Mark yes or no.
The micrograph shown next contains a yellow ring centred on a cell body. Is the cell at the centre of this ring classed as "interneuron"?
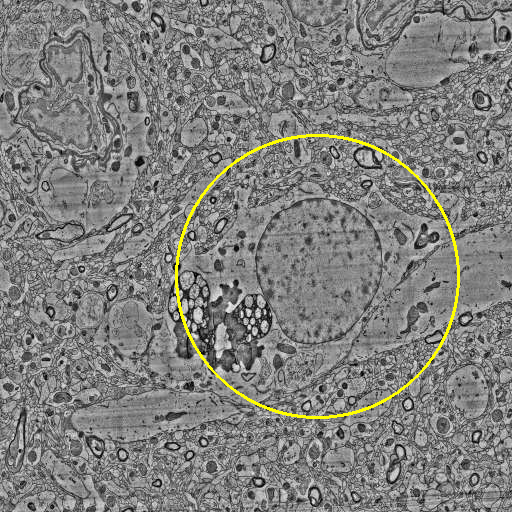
no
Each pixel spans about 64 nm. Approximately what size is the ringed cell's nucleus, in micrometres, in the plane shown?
The ringed cell's nucleus is about 10 micrometres long and 8 micrometres wide in this plane.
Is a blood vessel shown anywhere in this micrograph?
Yes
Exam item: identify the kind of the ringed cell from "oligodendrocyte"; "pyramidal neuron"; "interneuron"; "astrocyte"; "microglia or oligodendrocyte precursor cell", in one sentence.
What the ring is centred on is an astrocyte.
